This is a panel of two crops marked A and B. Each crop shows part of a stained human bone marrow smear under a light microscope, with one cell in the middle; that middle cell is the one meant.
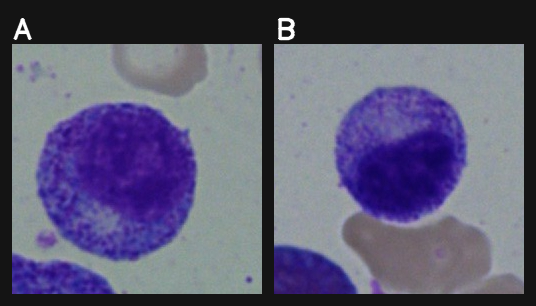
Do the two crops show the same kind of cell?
yes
